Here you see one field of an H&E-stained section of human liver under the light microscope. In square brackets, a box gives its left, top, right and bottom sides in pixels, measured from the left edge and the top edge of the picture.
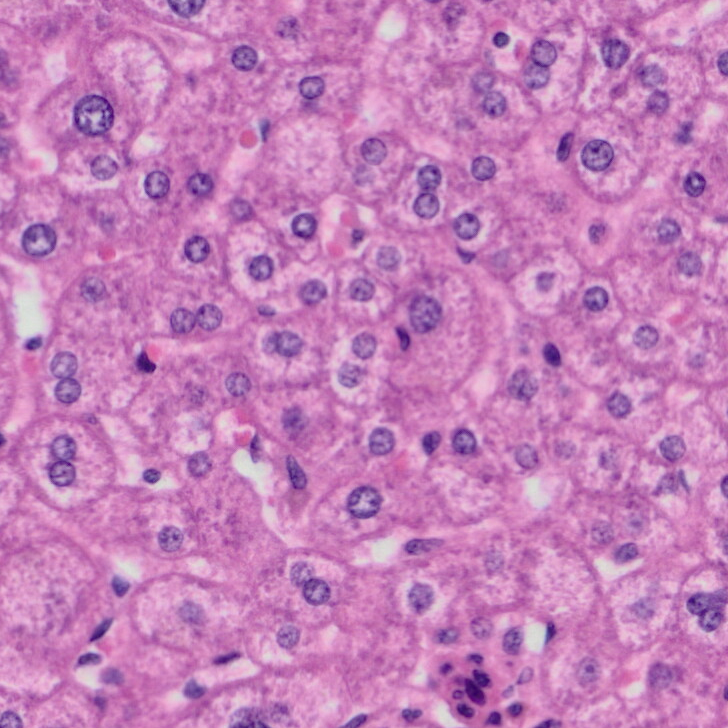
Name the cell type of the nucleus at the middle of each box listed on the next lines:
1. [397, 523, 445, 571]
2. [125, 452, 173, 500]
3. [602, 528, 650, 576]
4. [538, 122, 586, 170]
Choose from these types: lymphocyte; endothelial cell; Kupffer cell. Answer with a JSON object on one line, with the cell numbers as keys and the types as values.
{"1": "Kupffer cell", "2": "lymphocyte", "3": "Kupffer cell", "4": "endothelial cell"}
